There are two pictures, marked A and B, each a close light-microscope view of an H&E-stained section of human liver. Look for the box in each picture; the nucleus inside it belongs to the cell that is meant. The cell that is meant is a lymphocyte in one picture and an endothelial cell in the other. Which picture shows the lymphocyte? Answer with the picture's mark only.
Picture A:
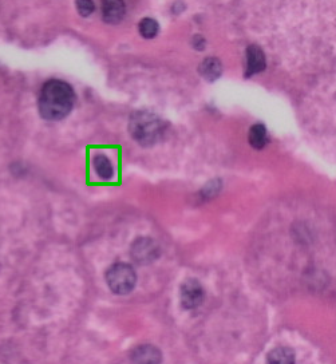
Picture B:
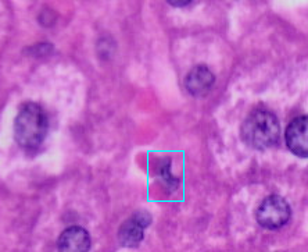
A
